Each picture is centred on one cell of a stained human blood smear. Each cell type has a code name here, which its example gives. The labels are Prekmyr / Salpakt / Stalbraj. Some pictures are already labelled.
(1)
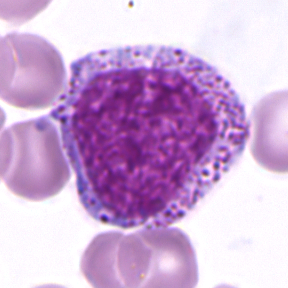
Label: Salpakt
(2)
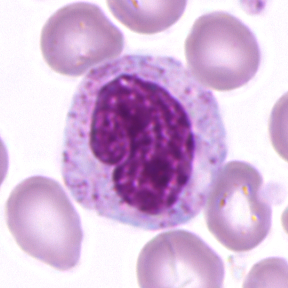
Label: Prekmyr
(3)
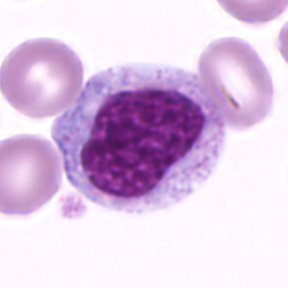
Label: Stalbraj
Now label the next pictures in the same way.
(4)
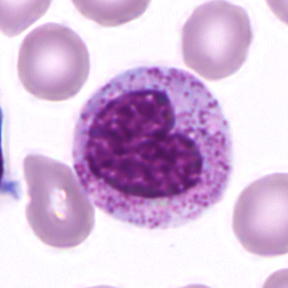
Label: Prekmyr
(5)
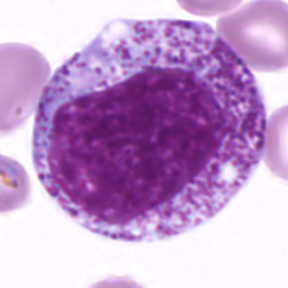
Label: Salpakt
